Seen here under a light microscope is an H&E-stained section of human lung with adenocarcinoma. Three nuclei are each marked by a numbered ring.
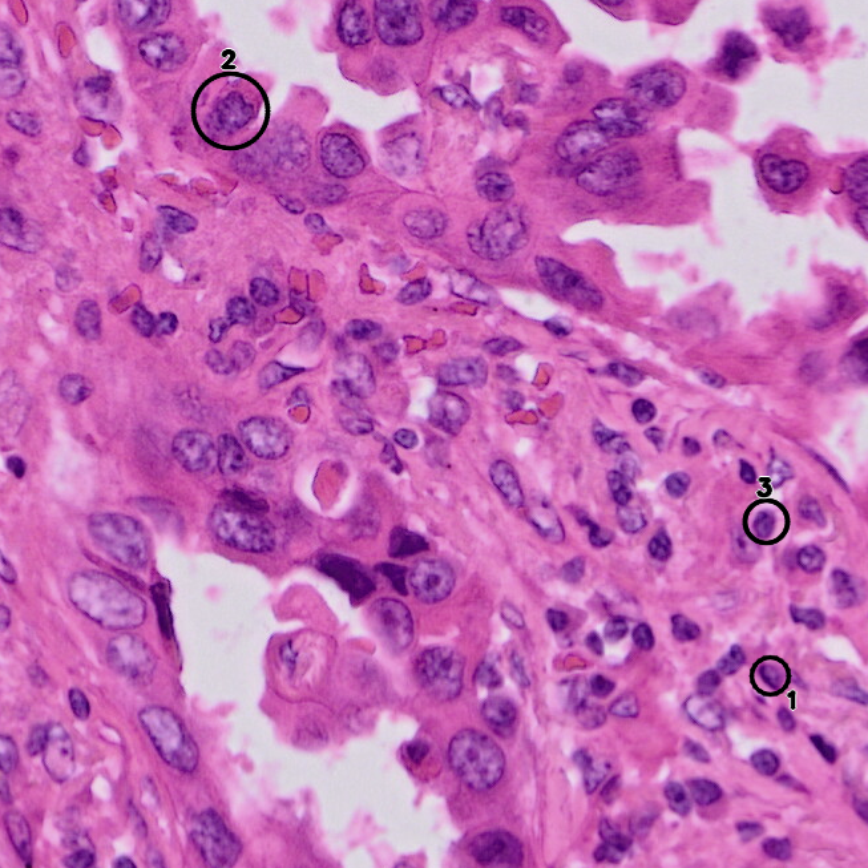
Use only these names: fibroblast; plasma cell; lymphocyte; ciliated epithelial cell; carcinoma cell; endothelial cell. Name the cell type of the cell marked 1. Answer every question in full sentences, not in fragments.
Numbered cell 1 is a plasma cell in this tissue section.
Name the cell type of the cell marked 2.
Identified by the number 2, the cell is a carcinoma cell.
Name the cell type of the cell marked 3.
Number 3 among the marked cells is a lymphocyte.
